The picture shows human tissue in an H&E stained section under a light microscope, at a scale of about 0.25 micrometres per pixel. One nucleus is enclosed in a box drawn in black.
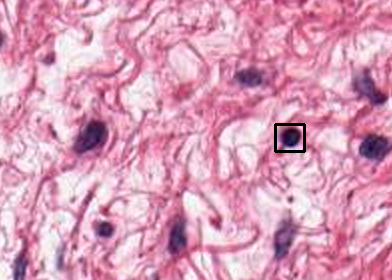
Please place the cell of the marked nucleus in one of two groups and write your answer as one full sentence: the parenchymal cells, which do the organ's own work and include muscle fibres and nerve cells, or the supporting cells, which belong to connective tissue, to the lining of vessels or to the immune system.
It is in a supporting cell that the marked nucleus lies.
